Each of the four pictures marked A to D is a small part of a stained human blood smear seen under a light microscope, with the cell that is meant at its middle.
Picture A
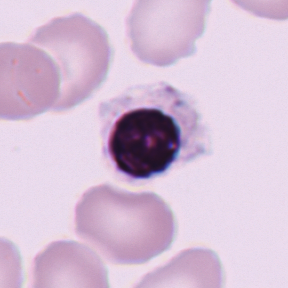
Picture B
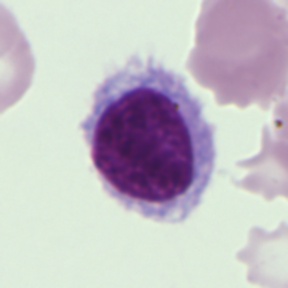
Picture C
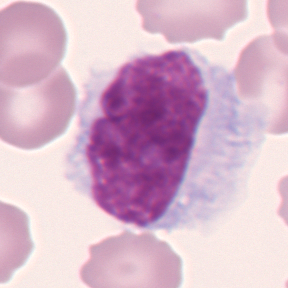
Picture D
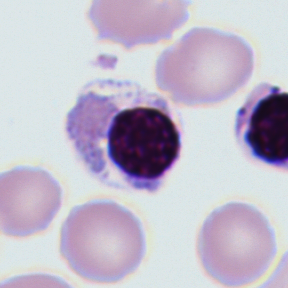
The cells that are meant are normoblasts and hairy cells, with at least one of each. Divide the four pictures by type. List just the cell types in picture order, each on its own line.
normoblast
hairy cell
hairy cell
normoblast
